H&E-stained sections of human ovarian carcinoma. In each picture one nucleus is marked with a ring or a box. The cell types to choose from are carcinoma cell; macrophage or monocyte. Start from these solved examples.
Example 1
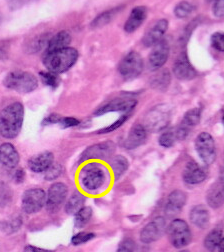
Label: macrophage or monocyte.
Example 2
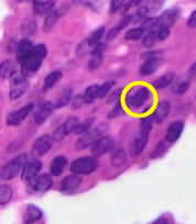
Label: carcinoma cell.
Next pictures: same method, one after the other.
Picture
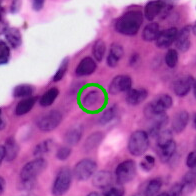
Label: carcinoma cell.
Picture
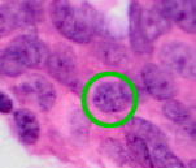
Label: macrophage or monocyte.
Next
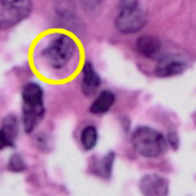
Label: macrophage or monocyte.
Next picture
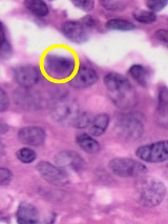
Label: carcinoma cell.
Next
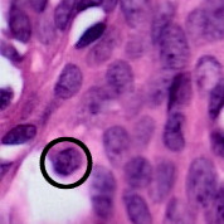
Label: macrophage or monocyte.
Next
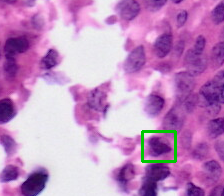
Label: carcinoma cell.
